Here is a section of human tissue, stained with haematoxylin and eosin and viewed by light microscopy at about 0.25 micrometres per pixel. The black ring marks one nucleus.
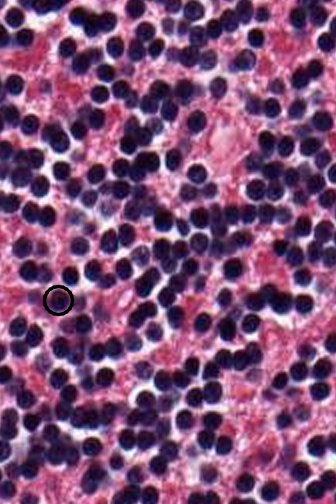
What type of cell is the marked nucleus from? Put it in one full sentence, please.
The mark falls on a nucleus belonging to a cerebellar granule cell.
